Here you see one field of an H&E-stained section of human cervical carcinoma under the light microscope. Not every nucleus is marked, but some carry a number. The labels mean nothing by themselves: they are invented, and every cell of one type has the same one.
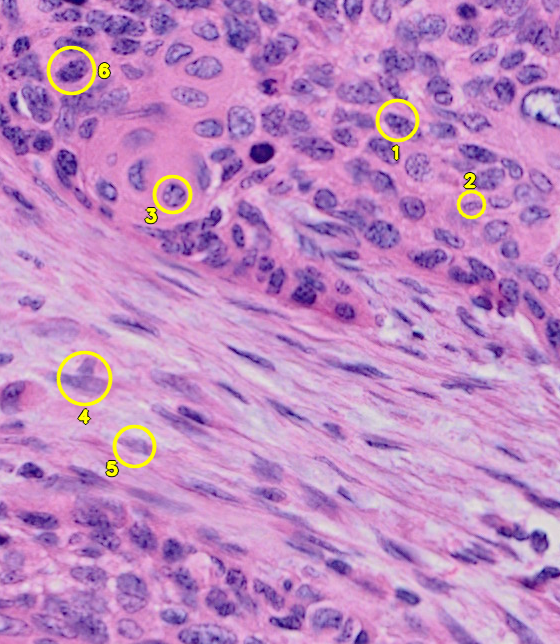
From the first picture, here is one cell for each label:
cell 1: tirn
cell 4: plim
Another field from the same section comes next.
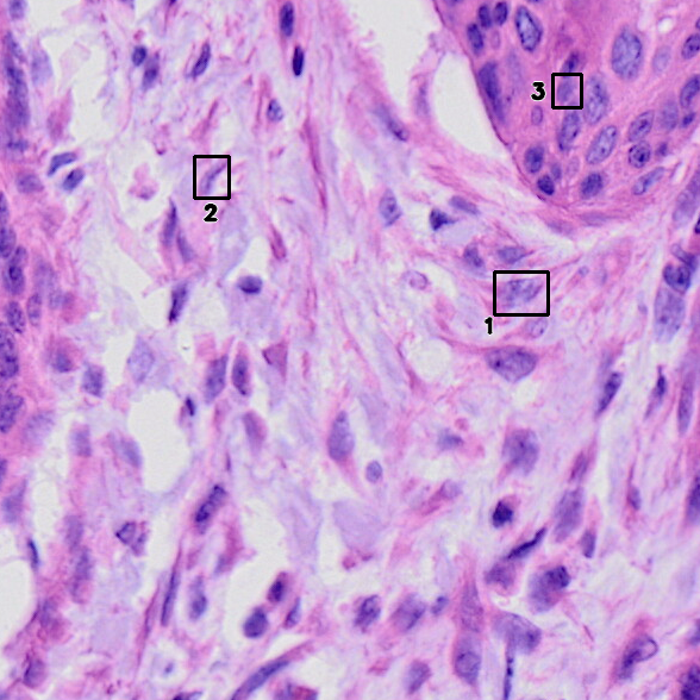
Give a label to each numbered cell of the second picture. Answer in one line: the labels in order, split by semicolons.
plim; plim; tirn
